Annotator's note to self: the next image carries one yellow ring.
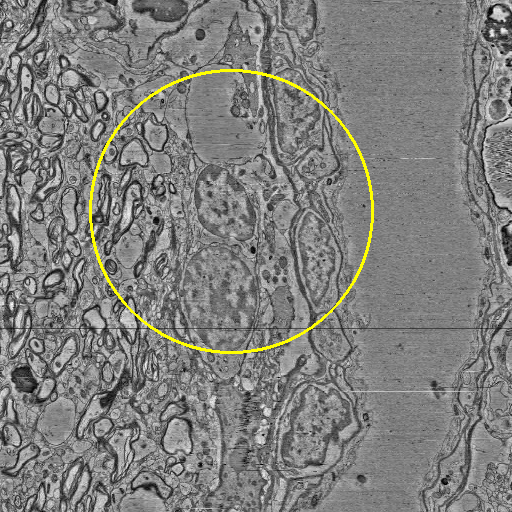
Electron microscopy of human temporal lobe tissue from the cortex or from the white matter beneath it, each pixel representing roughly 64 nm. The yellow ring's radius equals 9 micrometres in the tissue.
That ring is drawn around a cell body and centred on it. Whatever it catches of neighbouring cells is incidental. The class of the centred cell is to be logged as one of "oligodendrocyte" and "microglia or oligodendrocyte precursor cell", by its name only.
microglia or oligodendrocyte precursor cell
